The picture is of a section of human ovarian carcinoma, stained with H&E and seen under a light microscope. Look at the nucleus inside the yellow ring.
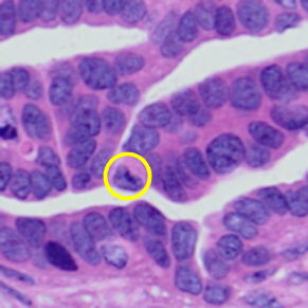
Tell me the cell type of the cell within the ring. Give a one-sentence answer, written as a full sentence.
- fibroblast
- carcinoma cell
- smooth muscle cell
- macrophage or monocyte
In terms of identity, the cell within the ring is a macrophage or monocyte.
